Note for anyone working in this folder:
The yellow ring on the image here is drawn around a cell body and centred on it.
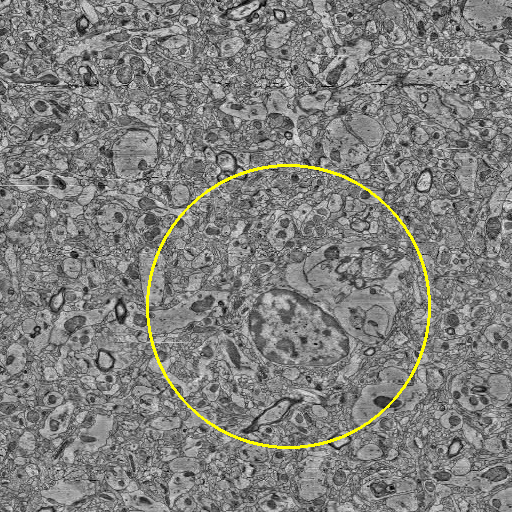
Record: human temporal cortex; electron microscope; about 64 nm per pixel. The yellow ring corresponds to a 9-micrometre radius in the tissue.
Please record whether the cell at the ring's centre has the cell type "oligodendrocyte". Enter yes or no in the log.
no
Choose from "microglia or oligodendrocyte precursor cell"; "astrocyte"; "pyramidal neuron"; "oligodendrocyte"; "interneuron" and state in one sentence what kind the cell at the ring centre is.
Sitting at the ring centre is a microglial cell or oligodendrocyte precursor cell.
